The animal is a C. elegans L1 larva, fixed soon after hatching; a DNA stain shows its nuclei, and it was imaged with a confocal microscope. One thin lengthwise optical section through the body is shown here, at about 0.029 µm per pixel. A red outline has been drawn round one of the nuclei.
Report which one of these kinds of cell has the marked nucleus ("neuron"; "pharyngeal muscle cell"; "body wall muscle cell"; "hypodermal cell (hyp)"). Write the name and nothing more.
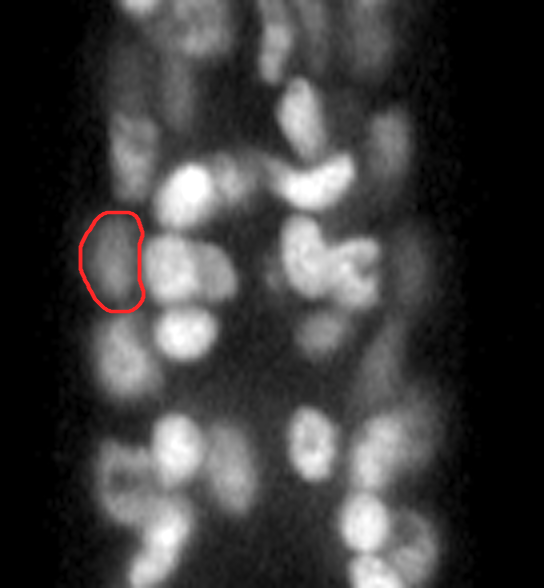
hypodermal cell (hyp)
